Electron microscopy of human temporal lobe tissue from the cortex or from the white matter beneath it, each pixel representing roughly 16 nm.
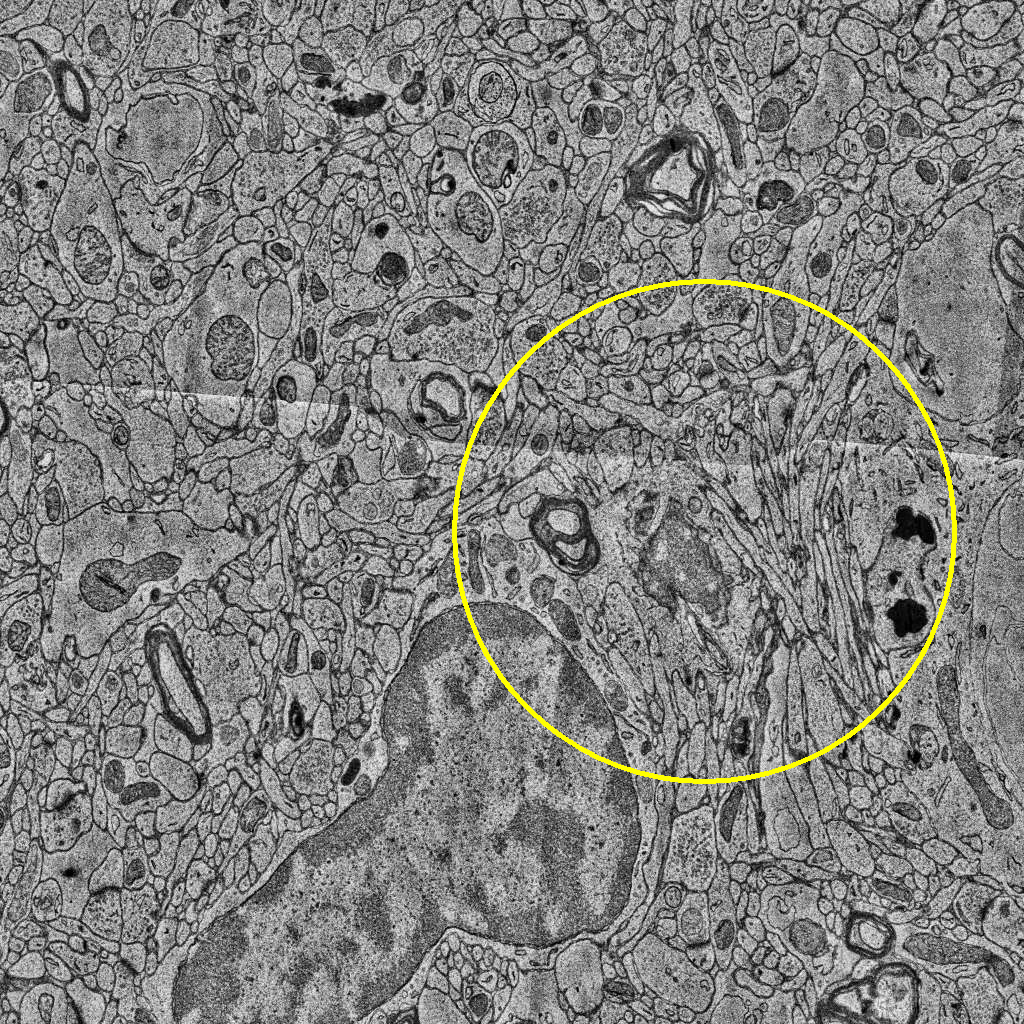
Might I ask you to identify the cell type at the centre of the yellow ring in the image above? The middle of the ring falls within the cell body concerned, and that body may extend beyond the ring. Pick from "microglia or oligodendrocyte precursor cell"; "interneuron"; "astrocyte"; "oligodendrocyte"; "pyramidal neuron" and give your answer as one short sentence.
The centre of the ring falls on an oligodendrocyte.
